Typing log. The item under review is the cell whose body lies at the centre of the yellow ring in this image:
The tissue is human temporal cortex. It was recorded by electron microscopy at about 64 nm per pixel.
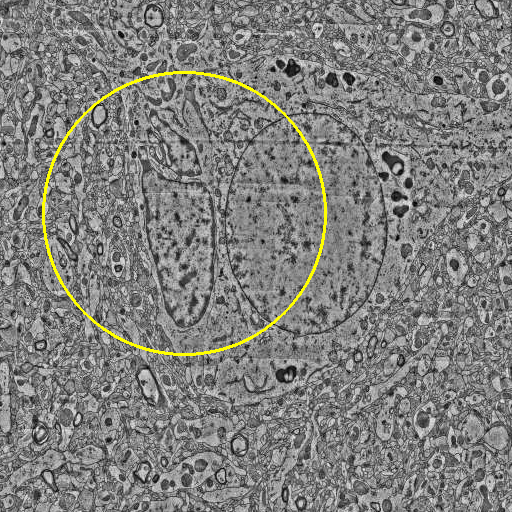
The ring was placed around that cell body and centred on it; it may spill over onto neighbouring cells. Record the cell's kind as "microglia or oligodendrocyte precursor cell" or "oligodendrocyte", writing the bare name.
microglia or oligodendrocyte precursor cell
